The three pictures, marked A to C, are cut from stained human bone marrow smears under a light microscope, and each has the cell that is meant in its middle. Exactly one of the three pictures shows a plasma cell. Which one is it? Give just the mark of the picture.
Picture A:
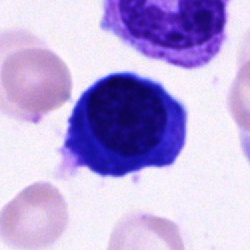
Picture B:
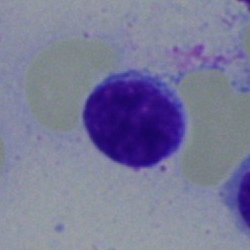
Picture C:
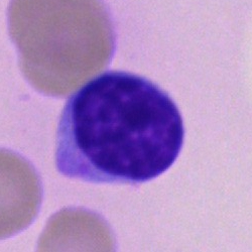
A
